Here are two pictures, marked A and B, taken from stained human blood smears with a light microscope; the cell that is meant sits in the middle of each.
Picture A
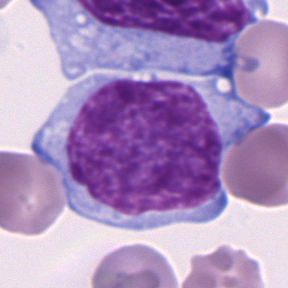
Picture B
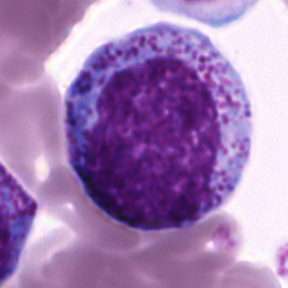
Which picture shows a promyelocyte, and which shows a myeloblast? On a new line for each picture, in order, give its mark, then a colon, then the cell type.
A: myeloblast
B: promyelocyte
